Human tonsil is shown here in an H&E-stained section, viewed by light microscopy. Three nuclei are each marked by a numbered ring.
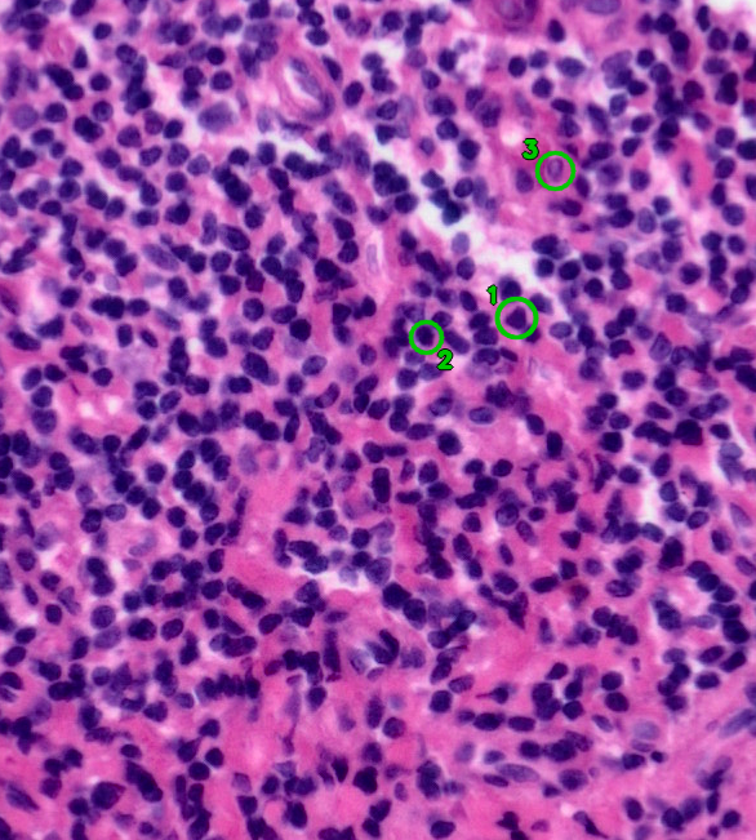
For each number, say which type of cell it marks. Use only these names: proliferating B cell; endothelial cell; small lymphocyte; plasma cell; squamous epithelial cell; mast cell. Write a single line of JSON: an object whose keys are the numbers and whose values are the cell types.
{"1": "small lymphocyte", "2": "small lymphocyte", "3": "endothelial cell"}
